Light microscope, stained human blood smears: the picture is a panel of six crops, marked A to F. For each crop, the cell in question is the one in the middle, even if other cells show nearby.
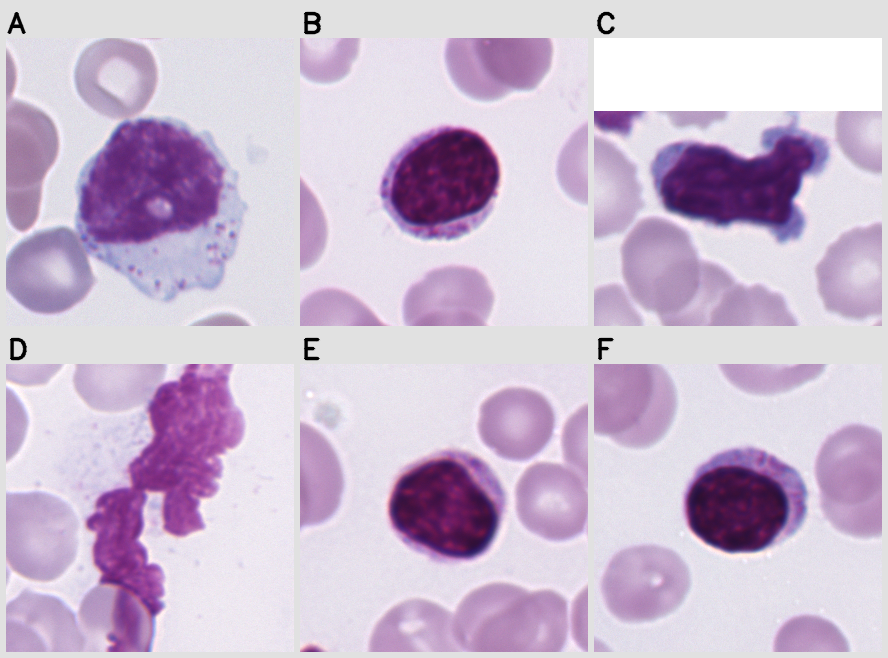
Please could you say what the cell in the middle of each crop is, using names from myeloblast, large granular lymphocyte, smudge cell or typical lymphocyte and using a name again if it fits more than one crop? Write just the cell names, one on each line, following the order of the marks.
large granular lymphocyte
large granular lymphocyte
typical lymphocyte
smudge cell
large granular lymphocyte
large granular lymphocyte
